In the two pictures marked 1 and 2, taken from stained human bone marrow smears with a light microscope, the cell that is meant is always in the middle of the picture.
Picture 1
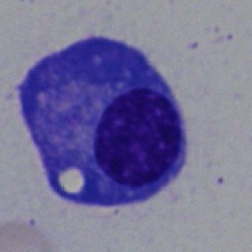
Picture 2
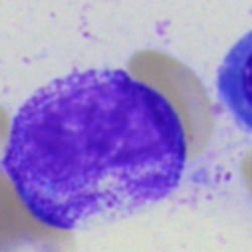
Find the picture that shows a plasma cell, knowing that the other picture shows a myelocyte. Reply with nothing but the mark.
1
